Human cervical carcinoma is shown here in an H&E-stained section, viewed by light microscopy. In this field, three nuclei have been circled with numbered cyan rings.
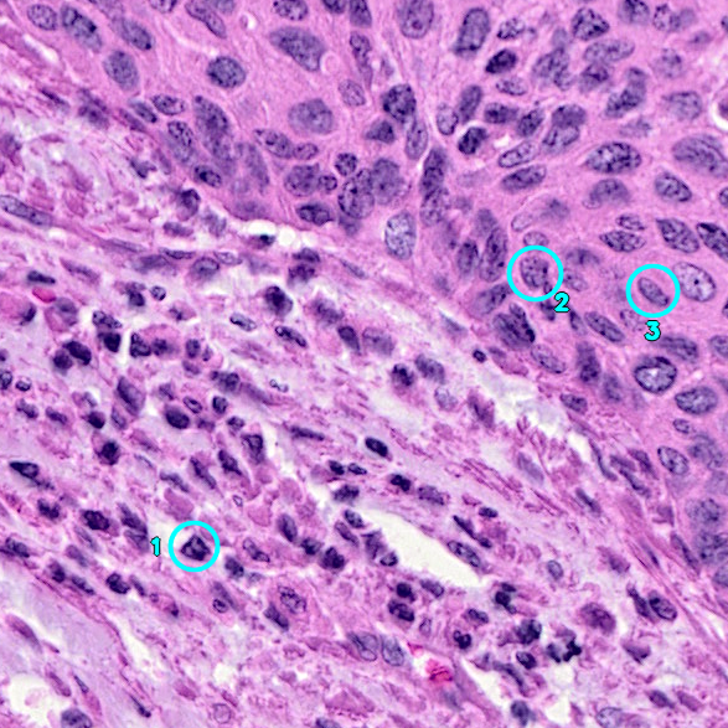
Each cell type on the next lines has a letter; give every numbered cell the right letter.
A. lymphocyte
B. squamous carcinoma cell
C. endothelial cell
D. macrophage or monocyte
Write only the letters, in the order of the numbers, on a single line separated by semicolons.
A; B; B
